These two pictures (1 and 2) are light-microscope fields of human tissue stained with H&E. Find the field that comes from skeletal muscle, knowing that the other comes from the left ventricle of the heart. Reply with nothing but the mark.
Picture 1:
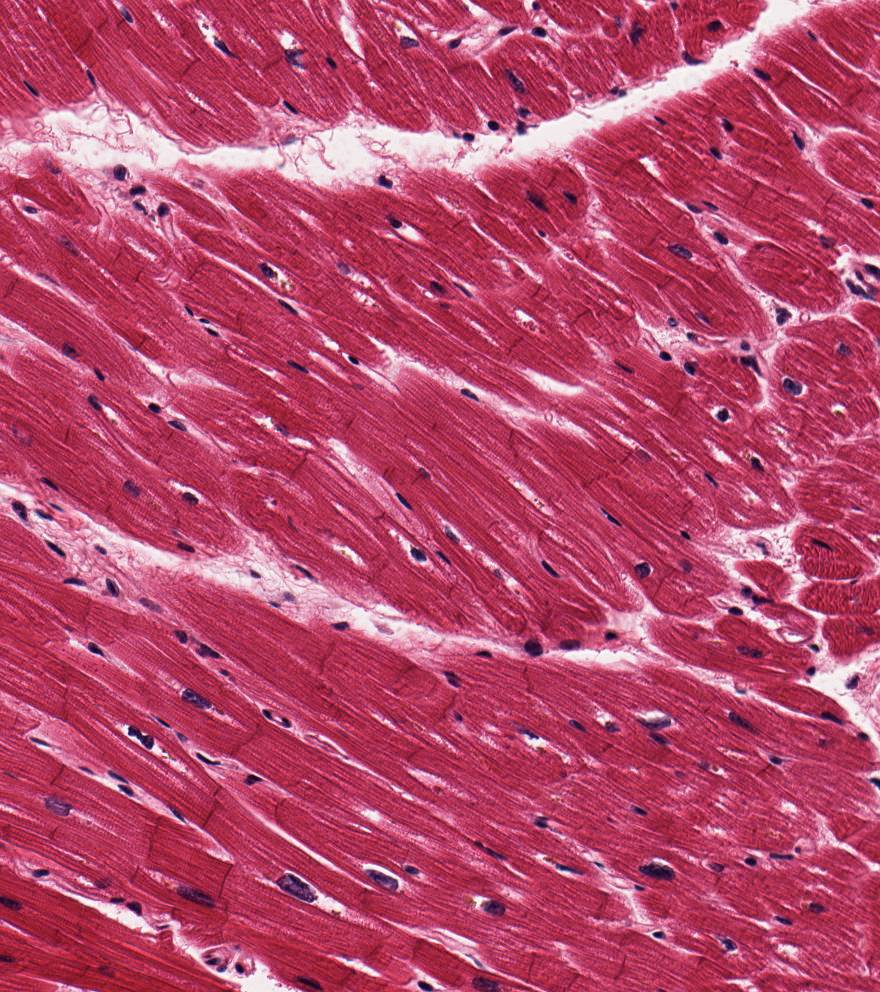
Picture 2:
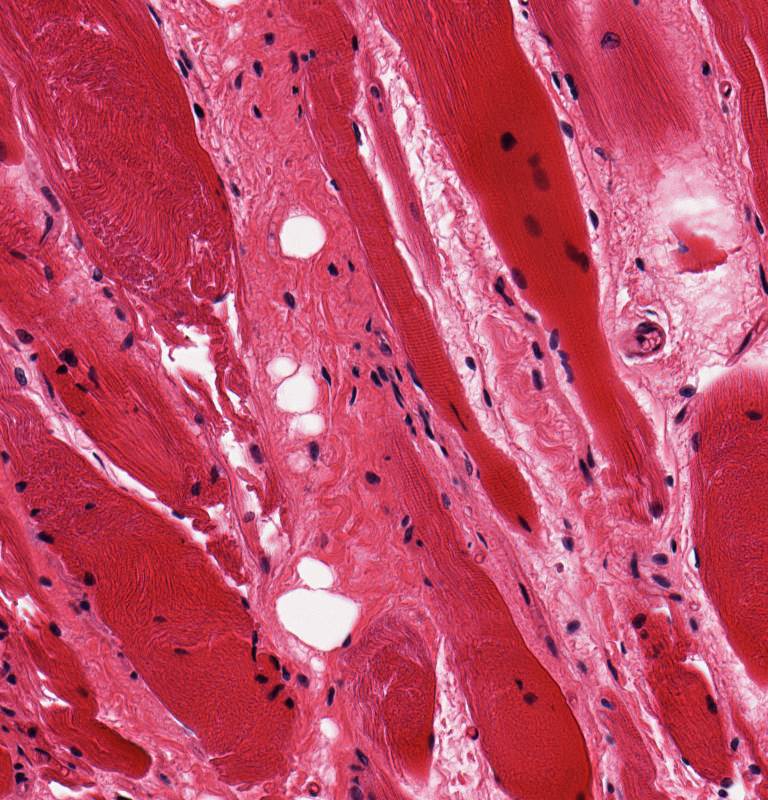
2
